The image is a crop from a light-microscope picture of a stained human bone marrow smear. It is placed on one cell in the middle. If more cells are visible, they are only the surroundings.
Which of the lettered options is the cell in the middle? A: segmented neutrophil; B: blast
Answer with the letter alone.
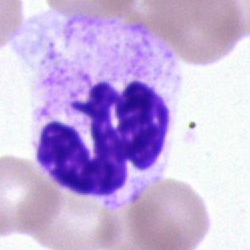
A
